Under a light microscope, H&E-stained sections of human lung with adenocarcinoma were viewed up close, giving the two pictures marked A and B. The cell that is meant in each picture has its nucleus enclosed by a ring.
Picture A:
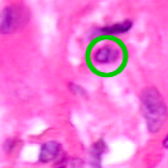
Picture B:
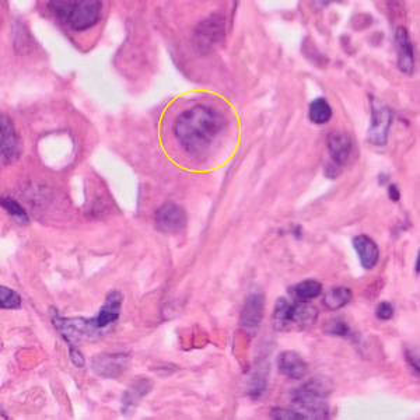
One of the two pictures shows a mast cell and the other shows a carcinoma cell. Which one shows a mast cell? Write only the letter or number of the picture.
A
